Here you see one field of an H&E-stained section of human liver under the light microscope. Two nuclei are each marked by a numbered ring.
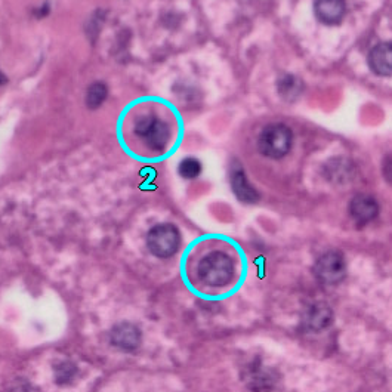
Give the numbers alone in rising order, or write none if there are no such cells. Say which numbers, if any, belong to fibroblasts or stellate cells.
2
